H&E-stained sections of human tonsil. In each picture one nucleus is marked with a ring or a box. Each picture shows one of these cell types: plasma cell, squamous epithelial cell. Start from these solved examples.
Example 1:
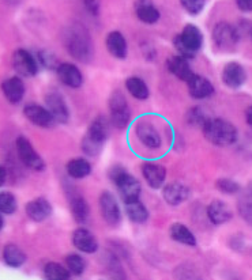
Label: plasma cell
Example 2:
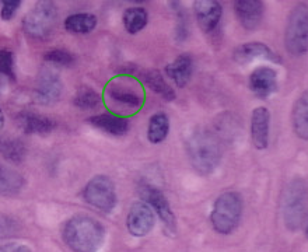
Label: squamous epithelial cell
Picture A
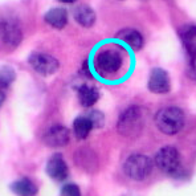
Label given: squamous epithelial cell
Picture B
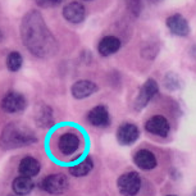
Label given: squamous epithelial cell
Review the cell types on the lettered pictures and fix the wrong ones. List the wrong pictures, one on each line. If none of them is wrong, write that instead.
A: not squamous epithelial cell but plasma cell
B: not squamous epithelial cell but plasma cell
